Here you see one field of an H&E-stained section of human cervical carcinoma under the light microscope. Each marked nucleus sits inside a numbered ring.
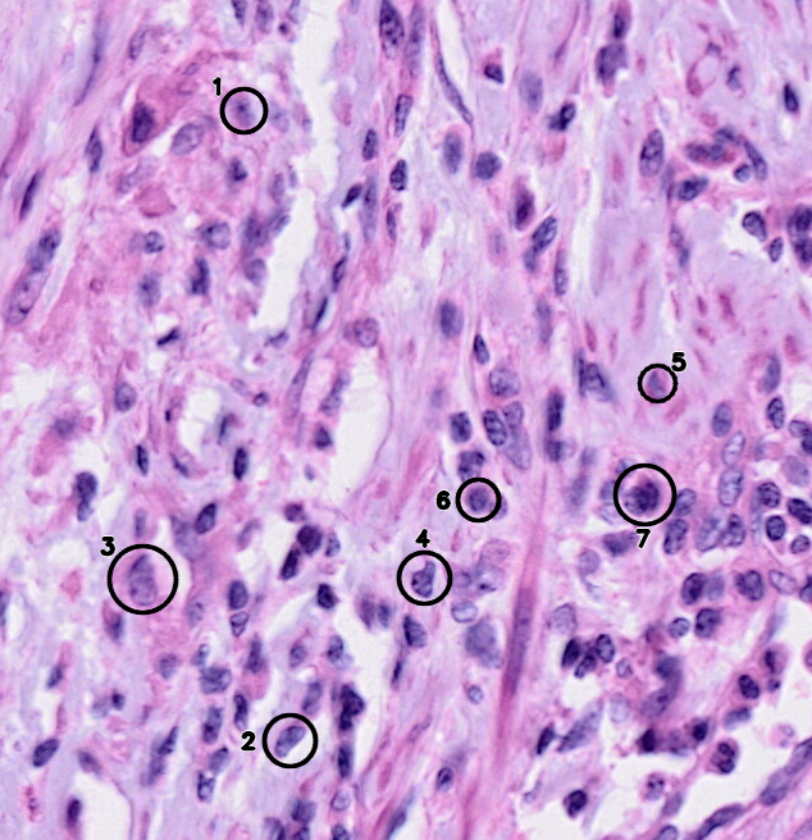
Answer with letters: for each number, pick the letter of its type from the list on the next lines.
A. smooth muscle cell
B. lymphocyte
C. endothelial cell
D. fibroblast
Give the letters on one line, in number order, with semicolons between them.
D; B; C; B; A; B; B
